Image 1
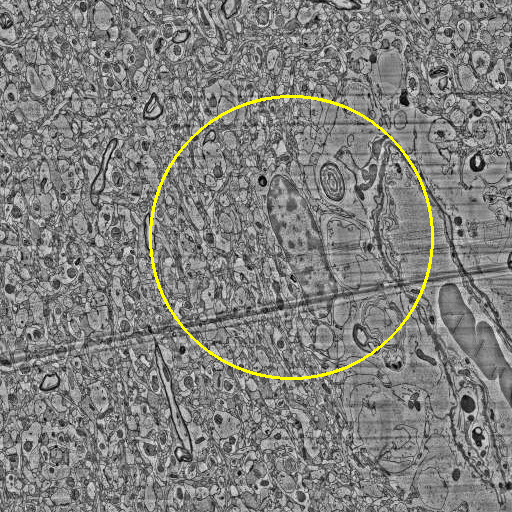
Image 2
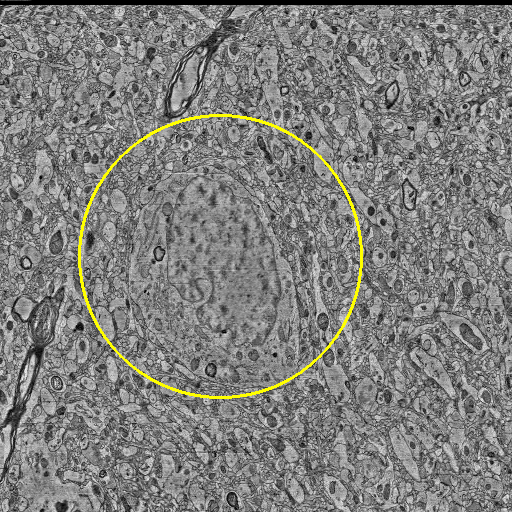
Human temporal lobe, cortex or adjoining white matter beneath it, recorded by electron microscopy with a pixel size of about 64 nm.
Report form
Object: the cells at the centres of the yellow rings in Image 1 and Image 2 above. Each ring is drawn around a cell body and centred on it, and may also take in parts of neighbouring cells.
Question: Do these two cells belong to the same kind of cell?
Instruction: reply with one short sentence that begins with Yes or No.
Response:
No, they belong to two kinds of cell.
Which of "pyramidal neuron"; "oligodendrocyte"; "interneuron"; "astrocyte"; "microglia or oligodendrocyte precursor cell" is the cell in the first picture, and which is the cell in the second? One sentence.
The two differ: the first cell is a microglial cell or oligodendrocyte precursor cell and the second is an interneuron.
